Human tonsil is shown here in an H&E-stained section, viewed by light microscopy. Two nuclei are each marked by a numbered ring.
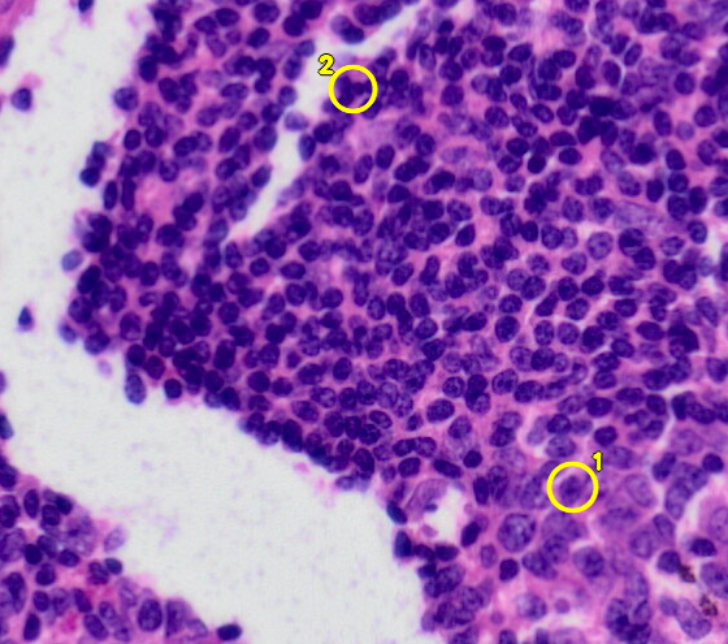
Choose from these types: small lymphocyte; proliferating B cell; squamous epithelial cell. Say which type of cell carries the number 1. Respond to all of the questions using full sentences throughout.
As for number 1, that cell is a proliferating B cell.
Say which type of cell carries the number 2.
Identified as a small lymphocyte is the cell bearing the number 2.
